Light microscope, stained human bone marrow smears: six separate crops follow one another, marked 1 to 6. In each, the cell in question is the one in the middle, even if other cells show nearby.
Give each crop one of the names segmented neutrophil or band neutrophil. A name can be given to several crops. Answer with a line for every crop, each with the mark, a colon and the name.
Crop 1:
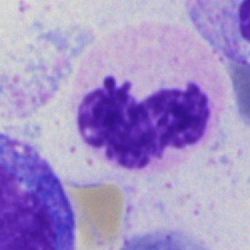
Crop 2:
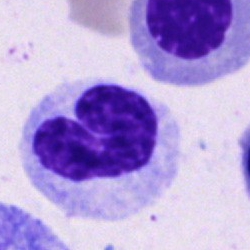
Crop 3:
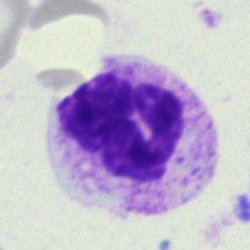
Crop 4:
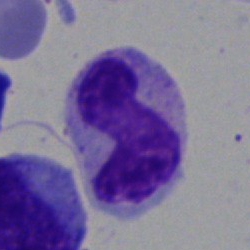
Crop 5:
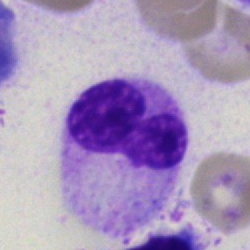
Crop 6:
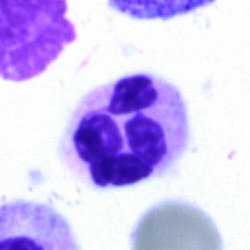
1: segmented neutrophil
2: band neutrophil
3: segmented neutrophil
4: band neutrophil
5: segmented neutrophil
6: segmented neutrophil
